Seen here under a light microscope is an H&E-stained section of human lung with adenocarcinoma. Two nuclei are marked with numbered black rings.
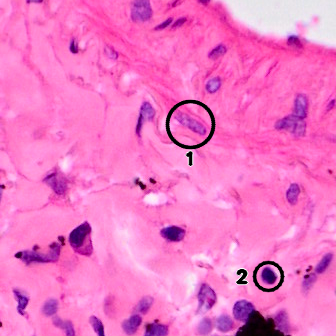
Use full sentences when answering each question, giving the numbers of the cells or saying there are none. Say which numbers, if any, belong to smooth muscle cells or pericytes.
Cell 1 is a smooth muscle cell or pericyte, while all remaining marked cells are of other types.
